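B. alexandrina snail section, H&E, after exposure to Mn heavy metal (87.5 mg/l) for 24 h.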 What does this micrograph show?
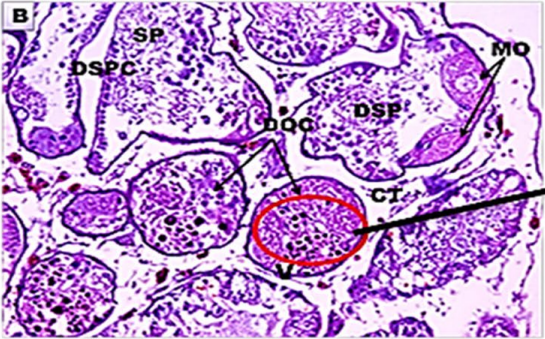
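The acini are rounded, thin-walled compartments, but their contents are loose and fragmented rather than orderly: oocytes have lost clear outlines and appear as pale pink-purple granular masses, and sperm and spermatocytes are scattered and disarranged instead of forming neat bundles. Many small, dense, black round particles lie within the acinar contents. Clear spaces and vacuoles appear within and between acini, and loose connective tissue separates the compartments. A few elongate oval ova remain at one side.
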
